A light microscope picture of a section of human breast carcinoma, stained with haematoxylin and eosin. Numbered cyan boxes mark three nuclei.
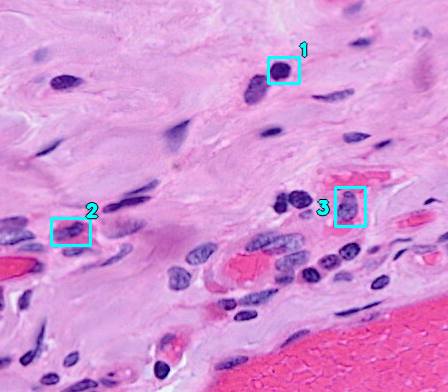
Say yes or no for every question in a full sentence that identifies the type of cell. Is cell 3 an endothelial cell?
Yes, to put it simply, cell number 3 is an endothelial cell.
